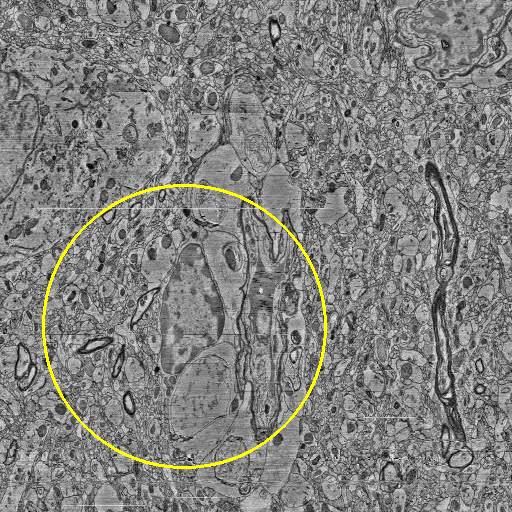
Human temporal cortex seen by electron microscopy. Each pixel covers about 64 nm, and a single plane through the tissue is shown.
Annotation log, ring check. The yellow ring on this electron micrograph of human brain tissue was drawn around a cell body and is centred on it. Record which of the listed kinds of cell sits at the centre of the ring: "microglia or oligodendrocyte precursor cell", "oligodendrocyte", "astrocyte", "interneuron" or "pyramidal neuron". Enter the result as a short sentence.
The cell at the centre of the ring is a microglial cell or oligodendrocyte precursor cell.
